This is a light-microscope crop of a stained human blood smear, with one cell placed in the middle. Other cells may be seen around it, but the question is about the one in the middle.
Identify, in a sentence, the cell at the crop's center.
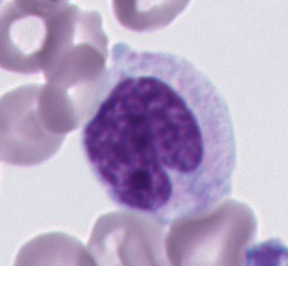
The cell at the central position in this crop is a band neutrophil.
